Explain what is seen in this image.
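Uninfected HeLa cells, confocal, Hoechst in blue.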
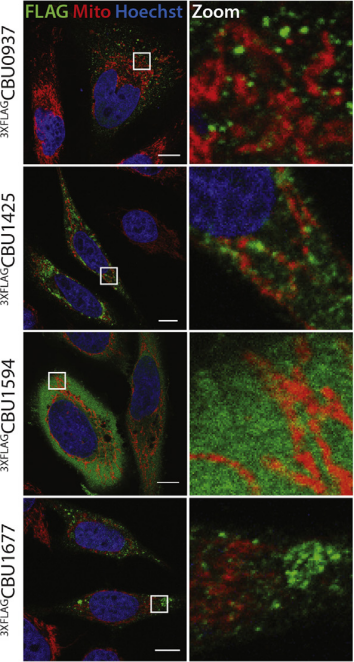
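A branching network of red threads fills the cytoplasm around the nucleus. The green signal differs from row to row: in some cells it forms discrete dots among the red threads, and in others it spreads diffusely through the cytoplasm. The enlarged views show that the green dots mostly lie apart from the red threads, not on them.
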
